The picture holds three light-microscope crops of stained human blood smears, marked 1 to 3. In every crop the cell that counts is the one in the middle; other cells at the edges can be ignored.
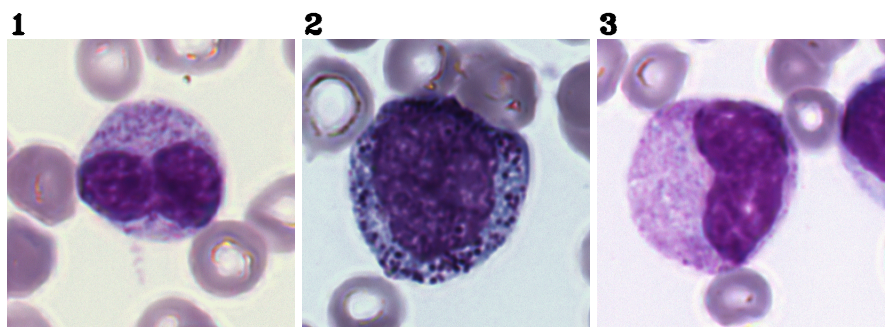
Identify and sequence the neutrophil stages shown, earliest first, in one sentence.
The sequence in which maturity rises is crop 2 (a promyelocyte), crop 3 (a metamyelocyte) and crop 1 (a band neutrophil).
